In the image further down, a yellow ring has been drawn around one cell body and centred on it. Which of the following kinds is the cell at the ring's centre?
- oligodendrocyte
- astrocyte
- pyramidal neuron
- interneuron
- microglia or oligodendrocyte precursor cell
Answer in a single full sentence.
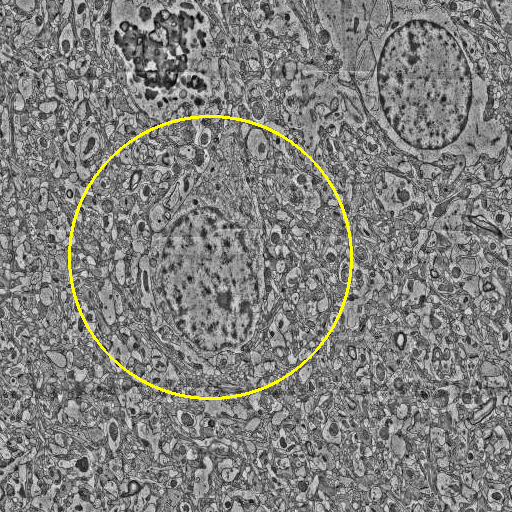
In the picture, the cell sitting at the centre of the yellow ring is an interneuron.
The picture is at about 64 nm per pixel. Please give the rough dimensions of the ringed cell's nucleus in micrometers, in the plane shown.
Roughly 9 by 6 micrometres in this plane, for the nucleus of the ringed cell.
